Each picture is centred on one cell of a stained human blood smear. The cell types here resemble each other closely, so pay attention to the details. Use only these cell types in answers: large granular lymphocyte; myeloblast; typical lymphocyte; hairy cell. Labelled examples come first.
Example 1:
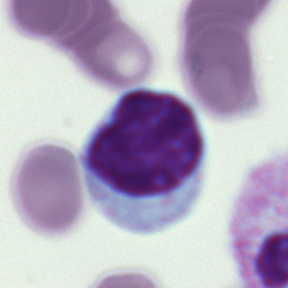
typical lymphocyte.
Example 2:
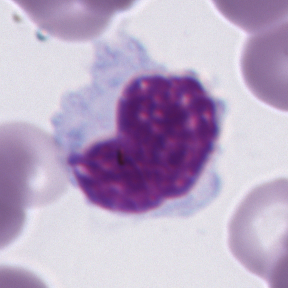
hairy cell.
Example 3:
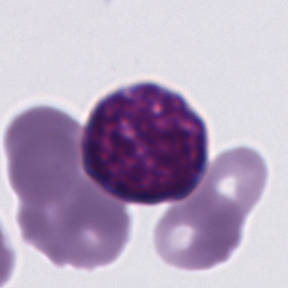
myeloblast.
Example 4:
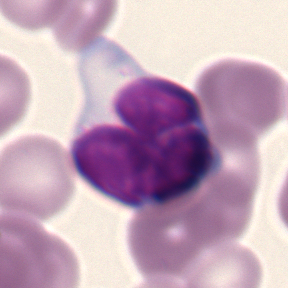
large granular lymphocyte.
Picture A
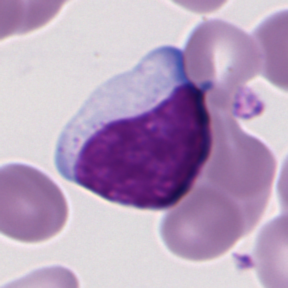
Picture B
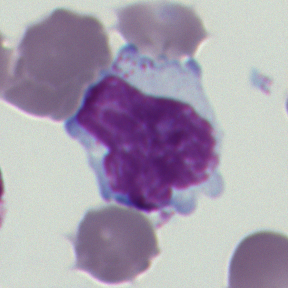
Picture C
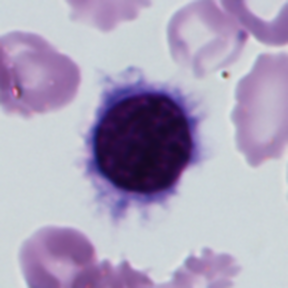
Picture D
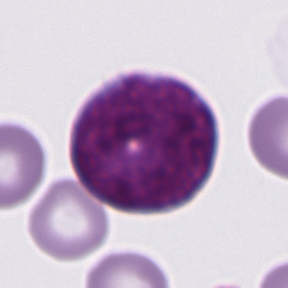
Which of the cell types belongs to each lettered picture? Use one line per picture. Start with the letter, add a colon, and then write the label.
A: large granular lymphocyte.
B: large granular lymphocyte.
C: hairy cell.
D: myeloblast.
